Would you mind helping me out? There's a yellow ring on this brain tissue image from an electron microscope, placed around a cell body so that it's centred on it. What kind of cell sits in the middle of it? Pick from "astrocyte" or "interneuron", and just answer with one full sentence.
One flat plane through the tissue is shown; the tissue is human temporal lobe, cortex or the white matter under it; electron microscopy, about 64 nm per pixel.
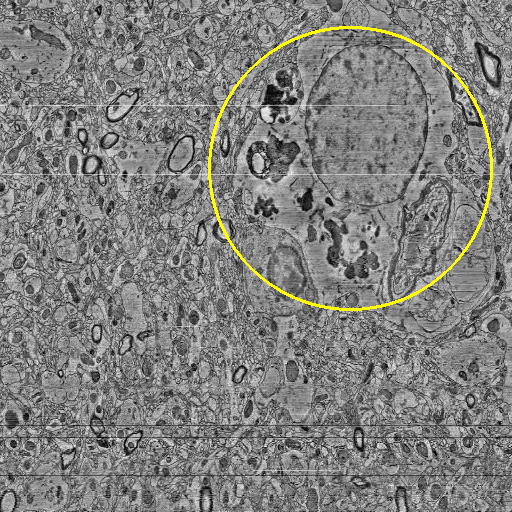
What sits in the middle of that yellow ring is an astrocyte, from your choices.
